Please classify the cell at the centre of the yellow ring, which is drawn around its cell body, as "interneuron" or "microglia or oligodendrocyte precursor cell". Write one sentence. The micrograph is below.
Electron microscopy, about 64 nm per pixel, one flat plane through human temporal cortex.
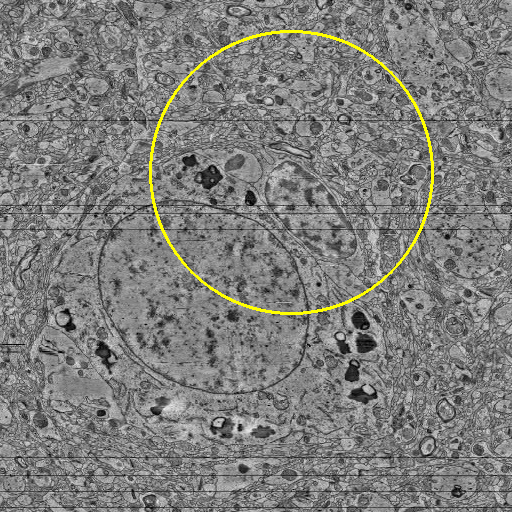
The cell at the ring's centre is classified as a microglial cell or oligodendrocyte precursor cell.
